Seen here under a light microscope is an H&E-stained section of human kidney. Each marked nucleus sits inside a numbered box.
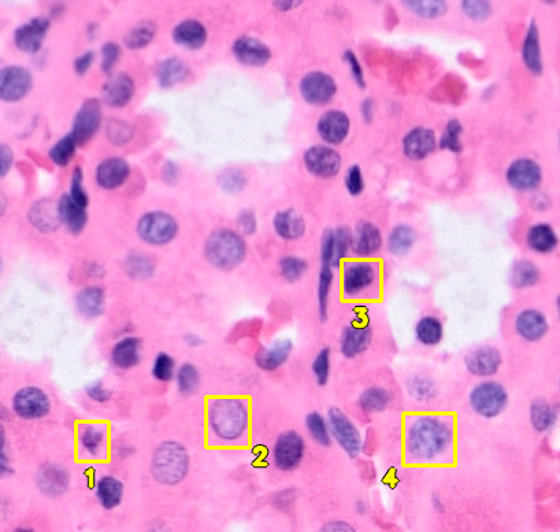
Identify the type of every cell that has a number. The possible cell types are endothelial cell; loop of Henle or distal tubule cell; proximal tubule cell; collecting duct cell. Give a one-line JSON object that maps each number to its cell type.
{"1": "loop of Henle or distal tubule cell", "2": "proximal tubule cell", "3": "loop of Henle or distal tubule cell", "4": "loop of Henle or distal tubule cell"}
